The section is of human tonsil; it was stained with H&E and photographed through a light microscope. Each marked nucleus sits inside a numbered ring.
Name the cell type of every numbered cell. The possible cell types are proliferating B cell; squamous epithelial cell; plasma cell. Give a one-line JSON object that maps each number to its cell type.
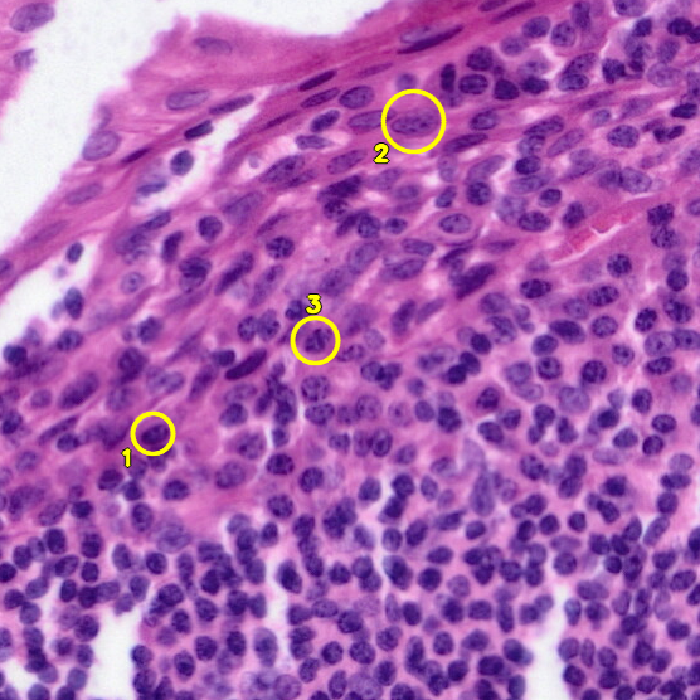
{"1": "plasma cell", "2": "squamous epithelial cell", "3": "plasma cell"}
